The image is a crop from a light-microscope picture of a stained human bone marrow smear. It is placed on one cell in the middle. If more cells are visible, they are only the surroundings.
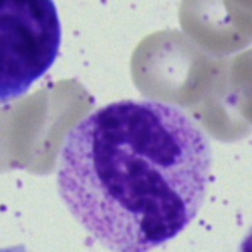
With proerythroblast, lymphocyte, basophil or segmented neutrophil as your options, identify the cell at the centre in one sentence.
The target cell in the middle of the crop is a segmented neutrophil.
